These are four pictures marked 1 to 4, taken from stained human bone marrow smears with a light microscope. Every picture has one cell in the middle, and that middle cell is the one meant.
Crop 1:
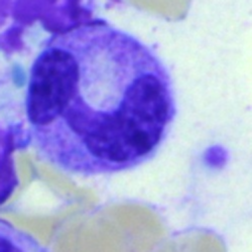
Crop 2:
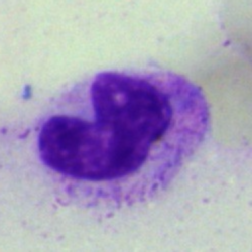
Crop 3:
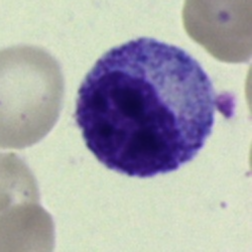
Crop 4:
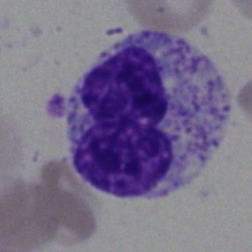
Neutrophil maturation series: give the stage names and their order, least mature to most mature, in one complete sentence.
The order of maturity, lowest to highest, is crop 3 (a myelocyte), crop 4 (a metamyelocyte), crop 2 (a band neutrophil) and crop 1 (a segmented neutrophil).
